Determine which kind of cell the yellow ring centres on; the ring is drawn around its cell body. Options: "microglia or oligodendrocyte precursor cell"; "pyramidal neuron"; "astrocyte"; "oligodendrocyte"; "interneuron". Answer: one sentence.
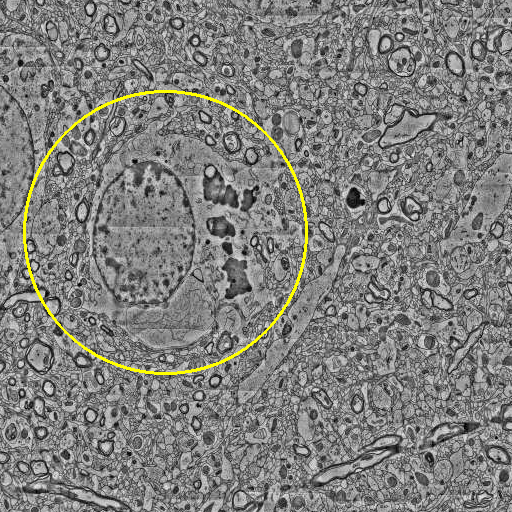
The ring centres on an astrocyte.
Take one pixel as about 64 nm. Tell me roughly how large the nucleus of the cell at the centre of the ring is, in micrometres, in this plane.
The nucleus appears roughly 9 by 6 micrometres in this plane.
